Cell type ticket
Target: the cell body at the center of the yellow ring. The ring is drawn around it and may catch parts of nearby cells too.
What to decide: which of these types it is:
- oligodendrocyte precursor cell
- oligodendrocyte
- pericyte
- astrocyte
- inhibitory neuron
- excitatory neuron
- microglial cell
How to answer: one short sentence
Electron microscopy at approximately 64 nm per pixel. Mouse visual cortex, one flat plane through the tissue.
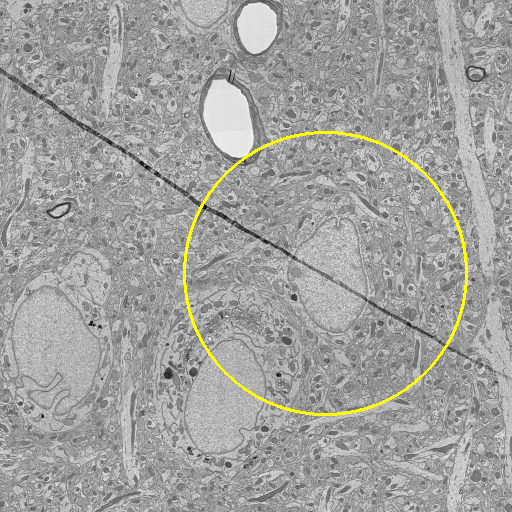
The cell at the center of the ring is an astrocyte.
